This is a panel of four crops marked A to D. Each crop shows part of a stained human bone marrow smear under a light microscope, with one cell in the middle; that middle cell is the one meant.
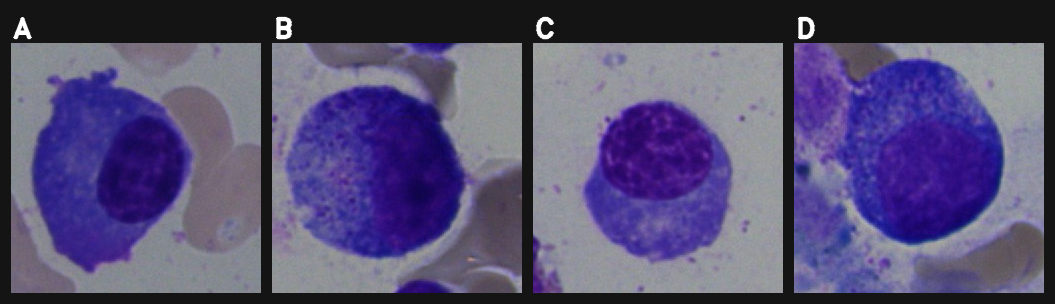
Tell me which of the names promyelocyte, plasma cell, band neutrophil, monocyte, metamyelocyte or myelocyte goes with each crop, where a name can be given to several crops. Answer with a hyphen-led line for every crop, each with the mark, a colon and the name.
- A: plasma cell
- B: promyelocyte
- C: plasma cell
- D: promyelocyte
